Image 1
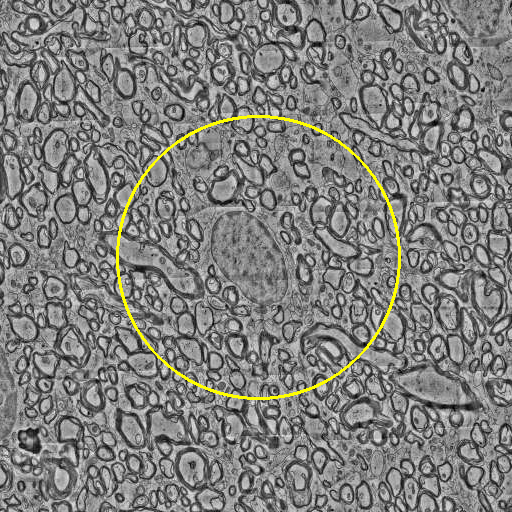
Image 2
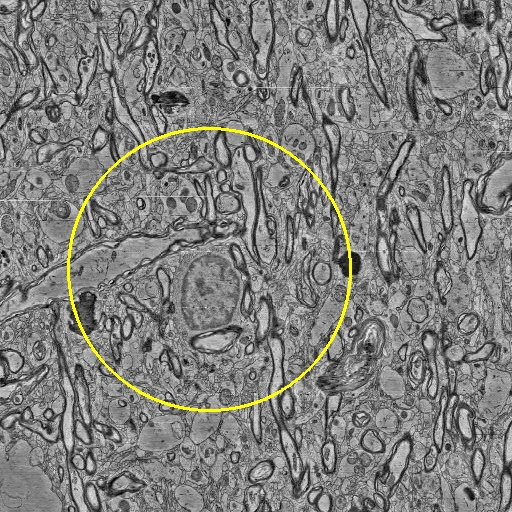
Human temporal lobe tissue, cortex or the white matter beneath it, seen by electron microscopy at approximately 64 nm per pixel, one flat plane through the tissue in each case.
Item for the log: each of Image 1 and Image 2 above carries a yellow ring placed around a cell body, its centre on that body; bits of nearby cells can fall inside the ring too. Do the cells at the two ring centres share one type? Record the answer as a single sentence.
No, the two cells at the ring centres in Image 1 and Image 2 are of two types.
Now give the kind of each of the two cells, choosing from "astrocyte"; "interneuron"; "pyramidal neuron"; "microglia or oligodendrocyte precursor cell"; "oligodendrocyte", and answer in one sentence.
The cell in the first picture is a microglial cell or oligodendrocyte precursor cell, and the cell in the second is an oligodendrocyte.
